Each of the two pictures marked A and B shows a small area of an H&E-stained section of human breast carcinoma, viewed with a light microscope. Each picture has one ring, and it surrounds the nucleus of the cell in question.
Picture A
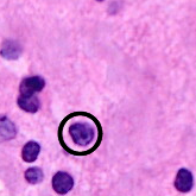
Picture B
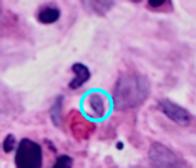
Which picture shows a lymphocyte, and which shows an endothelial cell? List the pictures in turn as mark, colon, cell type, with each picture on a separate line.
A: lymphocyte
B: endothelial cell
